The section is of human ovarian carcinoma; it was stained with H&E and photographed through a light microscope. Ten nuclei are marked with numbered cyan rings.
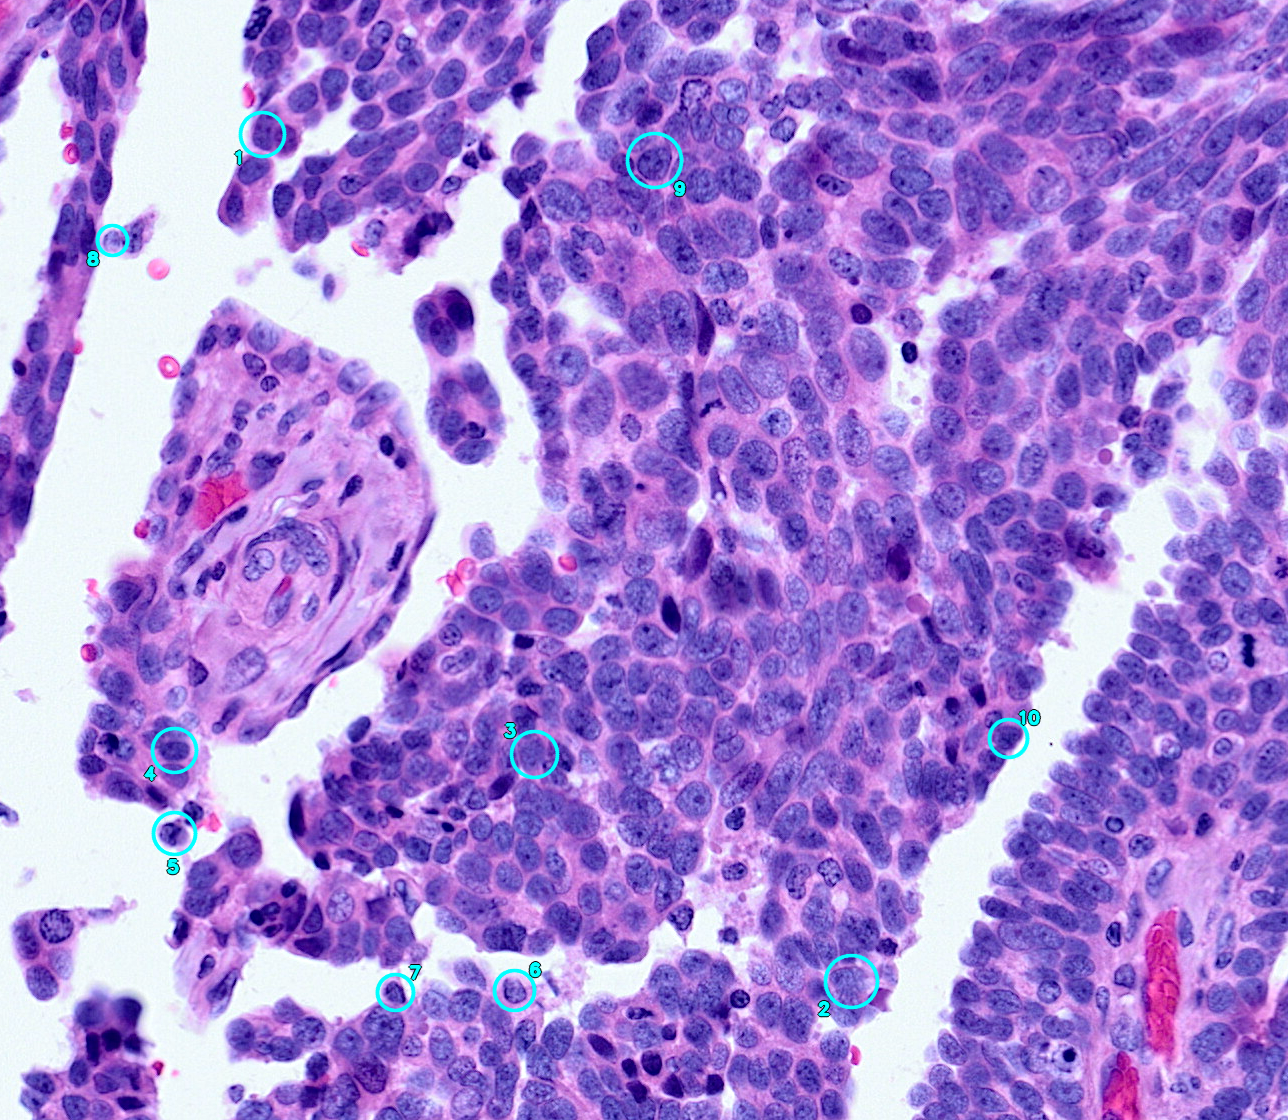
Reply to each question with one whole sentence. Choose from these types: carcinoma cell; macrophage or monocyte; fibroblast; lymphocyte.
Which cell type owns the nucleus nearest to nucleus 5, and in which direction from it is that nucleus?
Lying above and to the right of nucleus 5, the nearest nucleus is that of a lymphocyte.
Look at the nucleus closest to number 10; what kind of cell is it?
Closest to number 10 lies the nucleus of a macrophage or monocyte.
